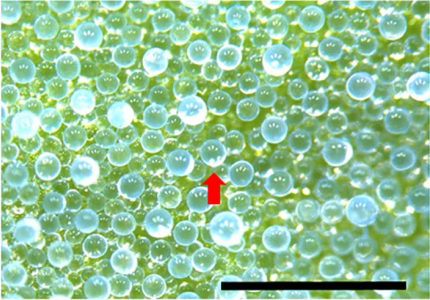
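The bladders are clear, rounded, glass-like spheres that reflect light as bright spots, ranging from small to large. They are packed so densely that they touch and overlap, hiding most of the leaf surface beneath. Only small gaps of pale green tissue show between the spheres.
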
